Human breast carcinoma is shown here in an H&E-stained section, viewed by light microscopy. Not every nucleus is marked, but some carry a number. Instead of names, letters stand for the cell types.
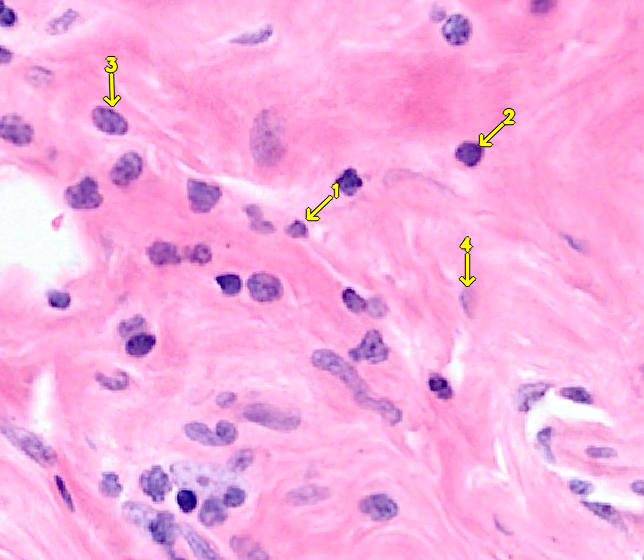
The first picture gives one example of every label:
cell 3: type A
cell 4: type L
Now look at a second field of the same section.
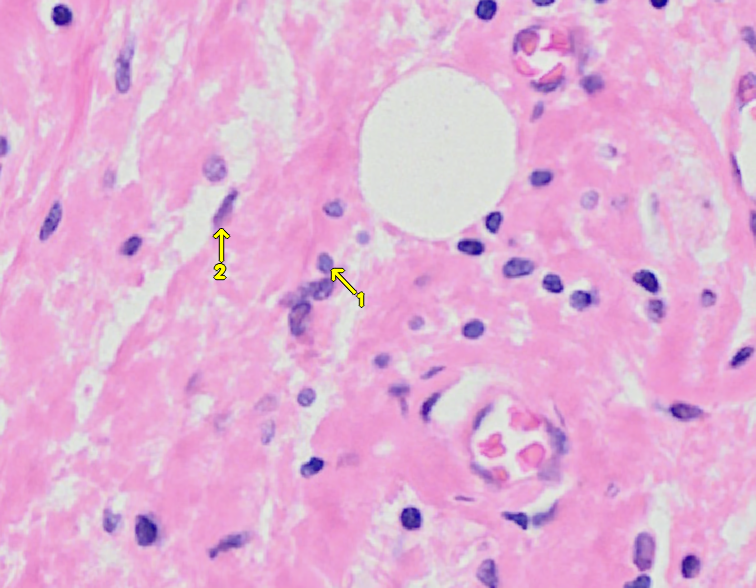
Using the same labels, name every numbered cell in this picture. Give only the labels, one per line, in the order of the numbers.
type A
type L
